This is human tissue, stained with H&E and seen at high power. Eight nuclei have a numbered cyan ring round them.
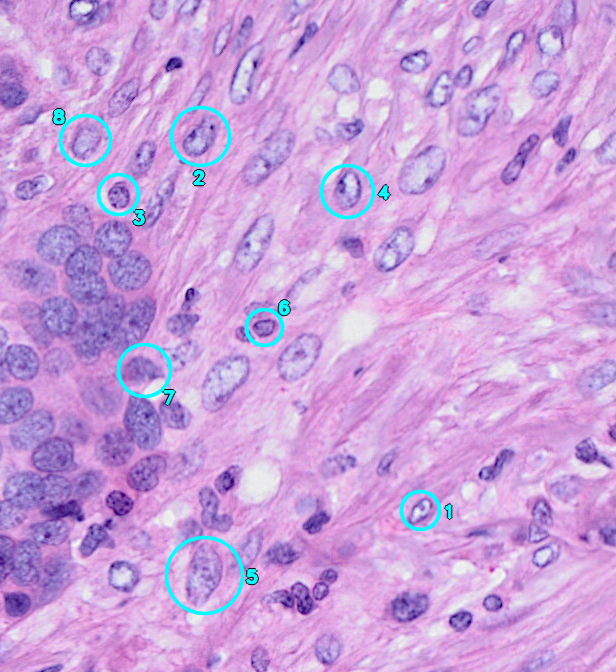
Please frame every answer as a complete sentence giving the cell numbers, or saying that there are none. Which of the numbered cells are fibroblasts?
The cells that bear the numbers 1, 2, 4, 5 and 8 are fibroblasts.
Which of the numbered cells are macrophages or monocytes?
Cells 3 and 6 share one type; they are macrophages or monocytes.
